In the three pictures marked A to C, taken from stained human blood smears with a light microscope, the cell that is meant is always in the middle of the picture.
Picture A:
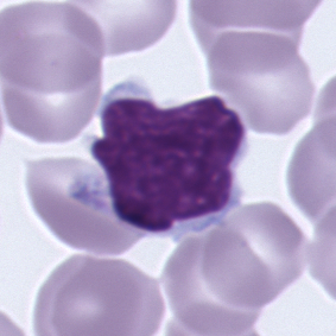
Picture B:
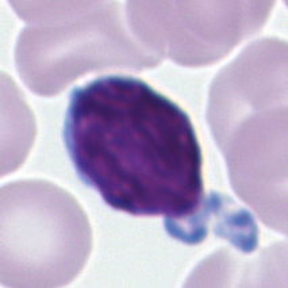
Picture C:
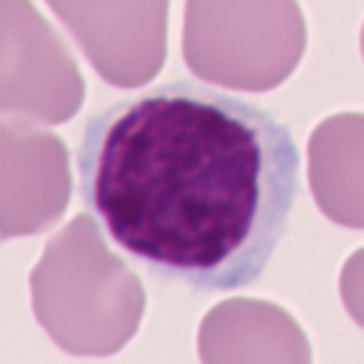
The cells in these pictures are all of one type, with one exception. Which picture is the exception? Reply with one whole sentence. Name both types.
The different one is picture C; it shows a hairy cell, whereas all the others show typical lymphocytes.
